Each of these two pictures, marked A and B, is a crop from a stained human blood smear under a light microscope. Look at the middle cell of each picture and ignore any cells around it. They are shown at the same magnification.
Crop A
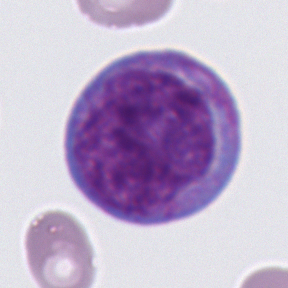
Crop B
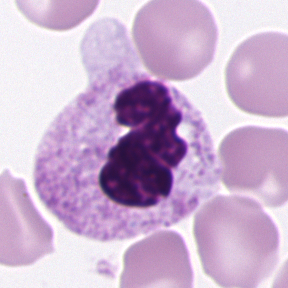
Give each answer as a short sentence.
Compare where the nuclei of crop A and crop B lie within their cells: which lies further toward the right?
Seen within its cell, the nucleus in crop B lies further toward the right.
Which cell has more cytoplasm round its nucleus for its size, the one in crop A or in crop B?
The nucleus fills less of the cell in crop B than in crop A.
